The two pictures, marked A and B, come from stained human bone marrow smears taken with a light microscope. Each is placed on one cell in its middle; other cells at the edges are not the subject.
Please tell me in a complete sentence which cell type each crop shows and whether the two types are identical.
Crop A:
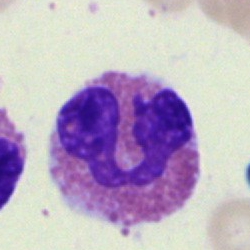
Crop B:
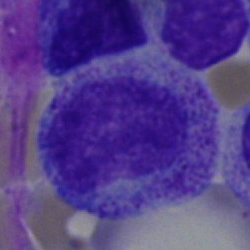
No, a metamyelocyte is the cell of crop B, while an eosinophil is the cell of crop A.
